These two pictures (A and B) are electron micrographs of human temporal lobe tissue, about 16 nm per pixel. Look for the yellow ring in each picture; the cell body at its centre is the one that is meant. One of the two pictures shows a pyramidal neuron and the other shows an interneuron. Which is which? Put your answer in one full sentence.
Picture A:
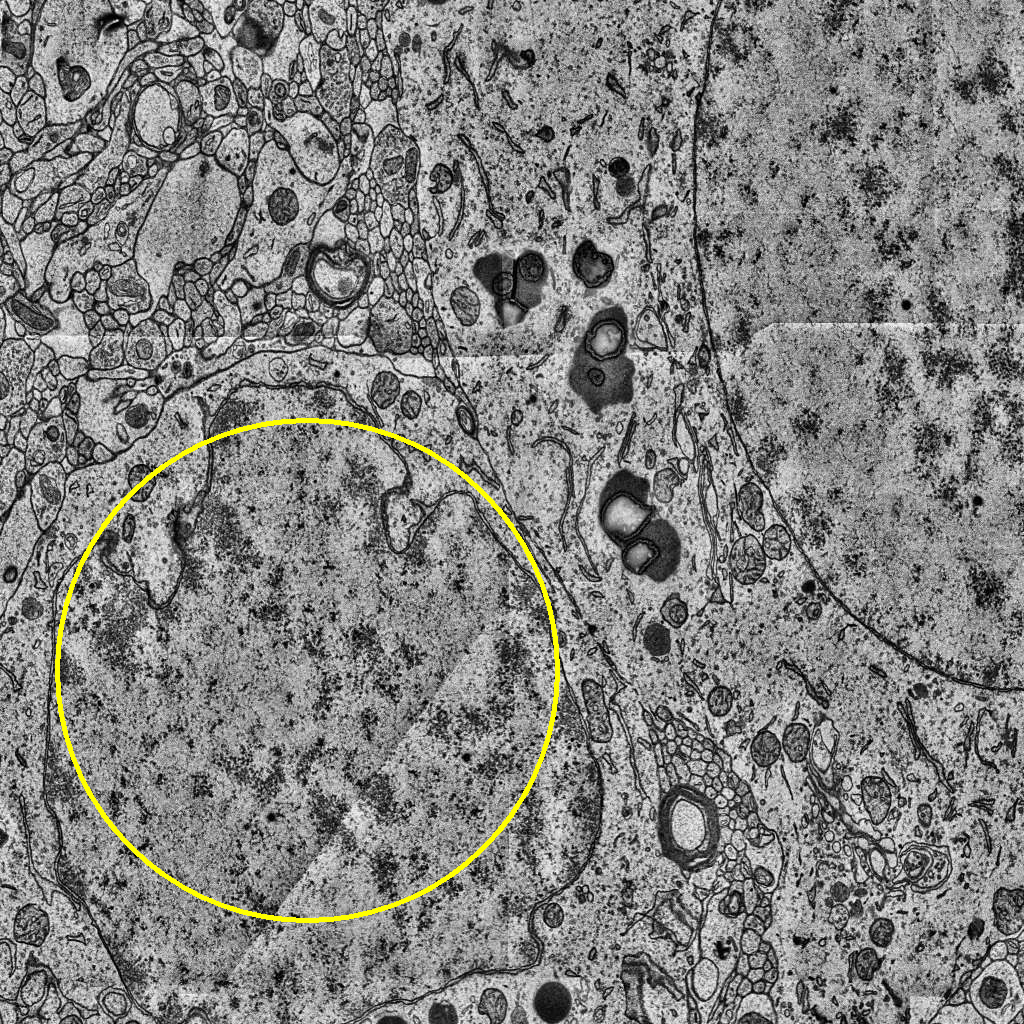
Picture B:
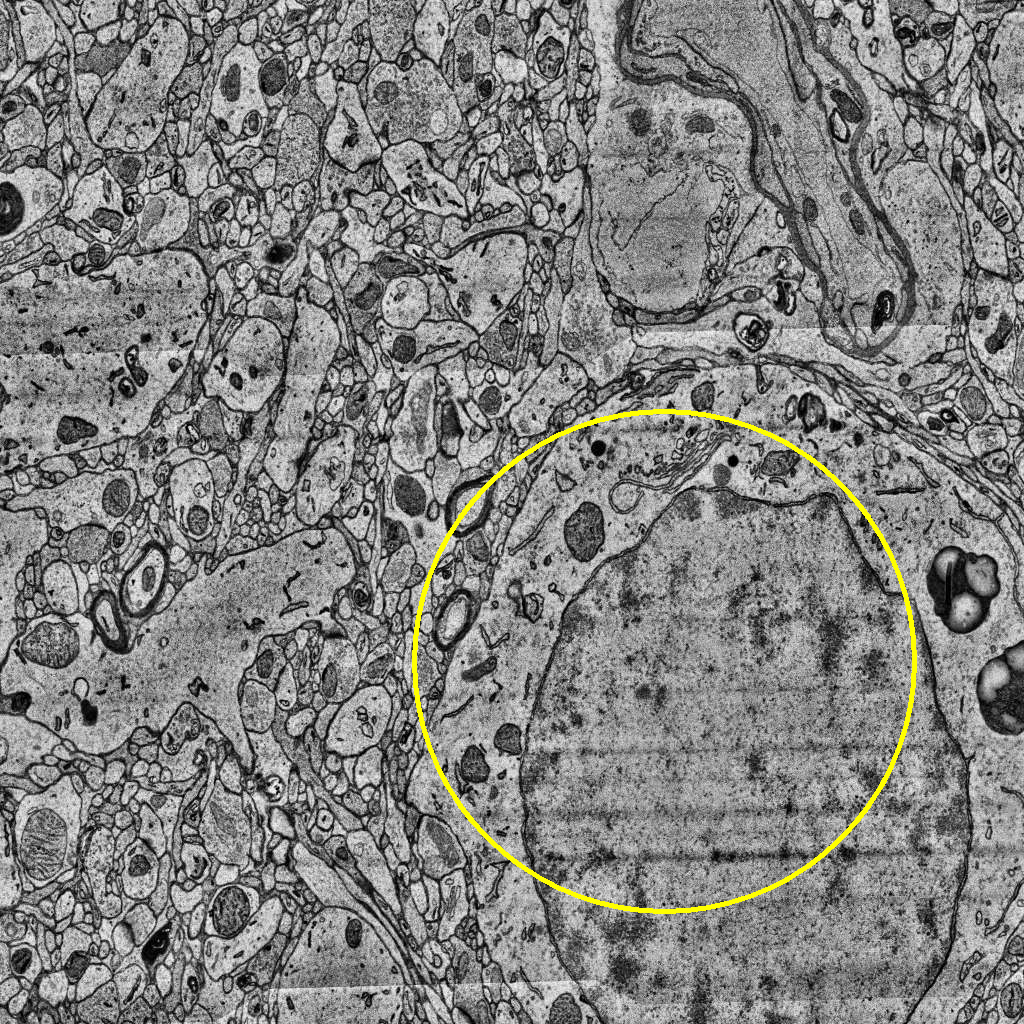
It is picture A that shows an interneuron, and picture B that shows a pyramidal neuron.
